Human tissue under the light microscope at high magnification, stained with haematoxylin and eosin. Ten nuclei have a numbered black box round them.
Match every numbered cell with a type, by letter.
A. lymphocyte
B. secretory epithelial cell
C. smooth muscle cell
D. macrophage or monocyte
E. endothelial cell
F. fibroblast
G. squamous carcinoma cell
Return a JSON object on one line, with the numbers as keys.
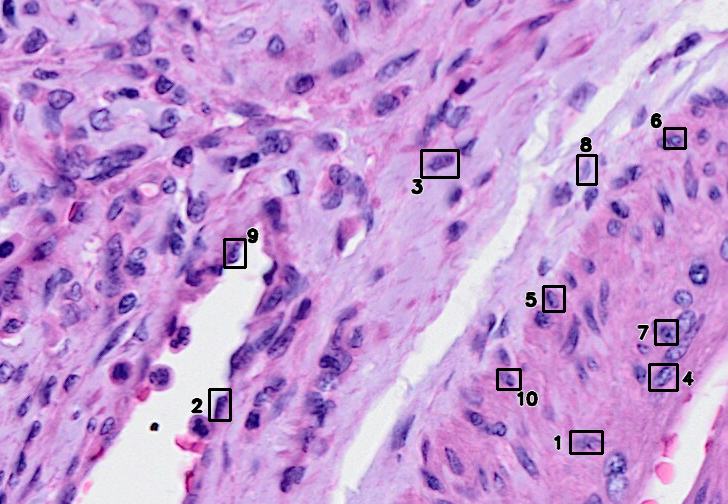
{"1": "C", "2": "E", "3": "F", "4": "C", "5": "C", "6": "C", "7": "C", "8": "F", "9": "E", "10": "C"}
